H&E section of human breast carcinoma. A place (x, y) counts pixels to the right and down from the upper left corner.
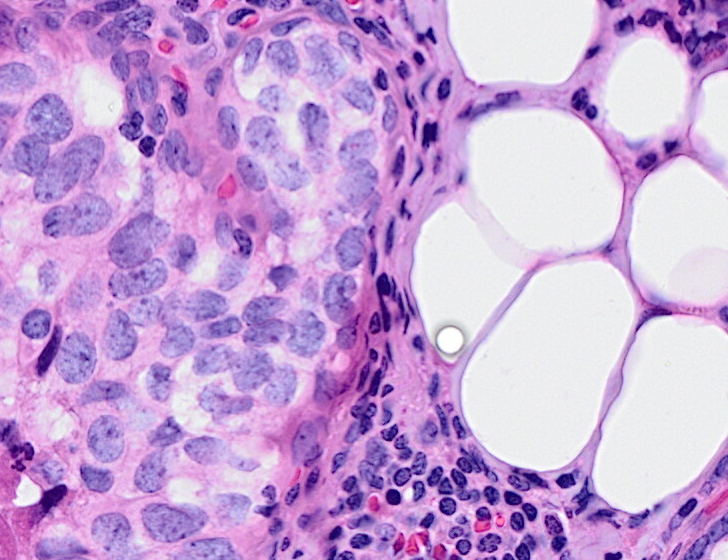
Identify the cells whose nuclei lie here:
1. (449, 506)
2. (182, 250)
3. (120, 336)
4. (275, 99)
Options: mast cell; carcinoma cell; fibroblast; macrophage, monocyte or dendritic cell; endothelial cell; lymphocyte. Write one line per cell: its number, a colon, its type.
1: lymphocyte
2: carcinoma cell
3: carcinoma cell
4: carcinoma cell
